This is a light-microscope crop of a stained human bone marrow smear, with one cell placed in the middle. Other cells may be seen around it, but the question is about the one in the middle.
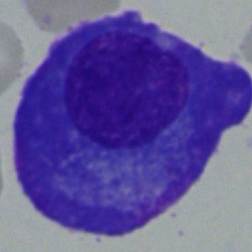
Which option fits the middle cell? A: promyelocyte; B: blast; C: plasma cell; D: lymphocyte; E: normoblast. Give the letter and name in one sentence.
The cell in the middle is a plasma cell, so option C is correct.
